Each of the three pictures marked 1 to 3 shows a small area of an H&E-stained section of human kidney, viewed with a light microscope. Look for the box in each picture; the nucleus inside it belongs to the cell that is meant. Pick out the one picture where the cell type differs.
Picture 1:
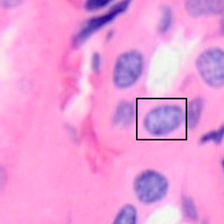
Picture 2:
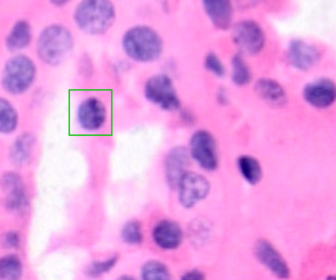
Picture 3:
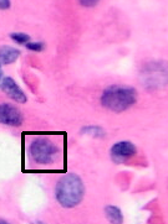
3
